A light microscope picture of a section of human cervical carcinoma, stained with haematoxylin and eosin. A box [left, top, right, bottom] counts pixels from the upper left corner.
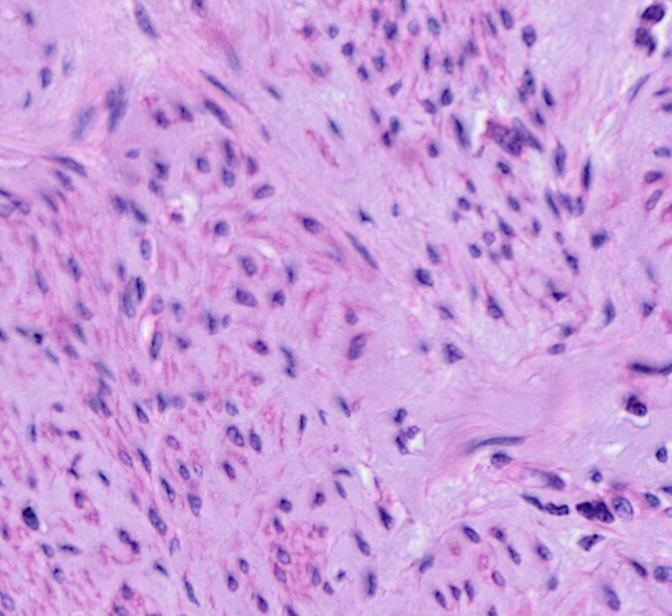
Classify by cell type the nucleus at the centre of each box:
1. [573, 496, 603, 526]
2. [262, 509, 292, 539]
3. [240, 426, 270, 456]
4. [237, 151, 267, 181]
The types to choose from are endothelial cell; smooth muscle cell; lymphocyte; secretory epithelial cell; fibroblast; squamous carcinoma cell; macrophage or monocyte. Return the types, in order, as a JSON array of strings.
["lymphocyte", "smooth muscle cell", "smooth muscle cell", "smooth muscle cell"]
